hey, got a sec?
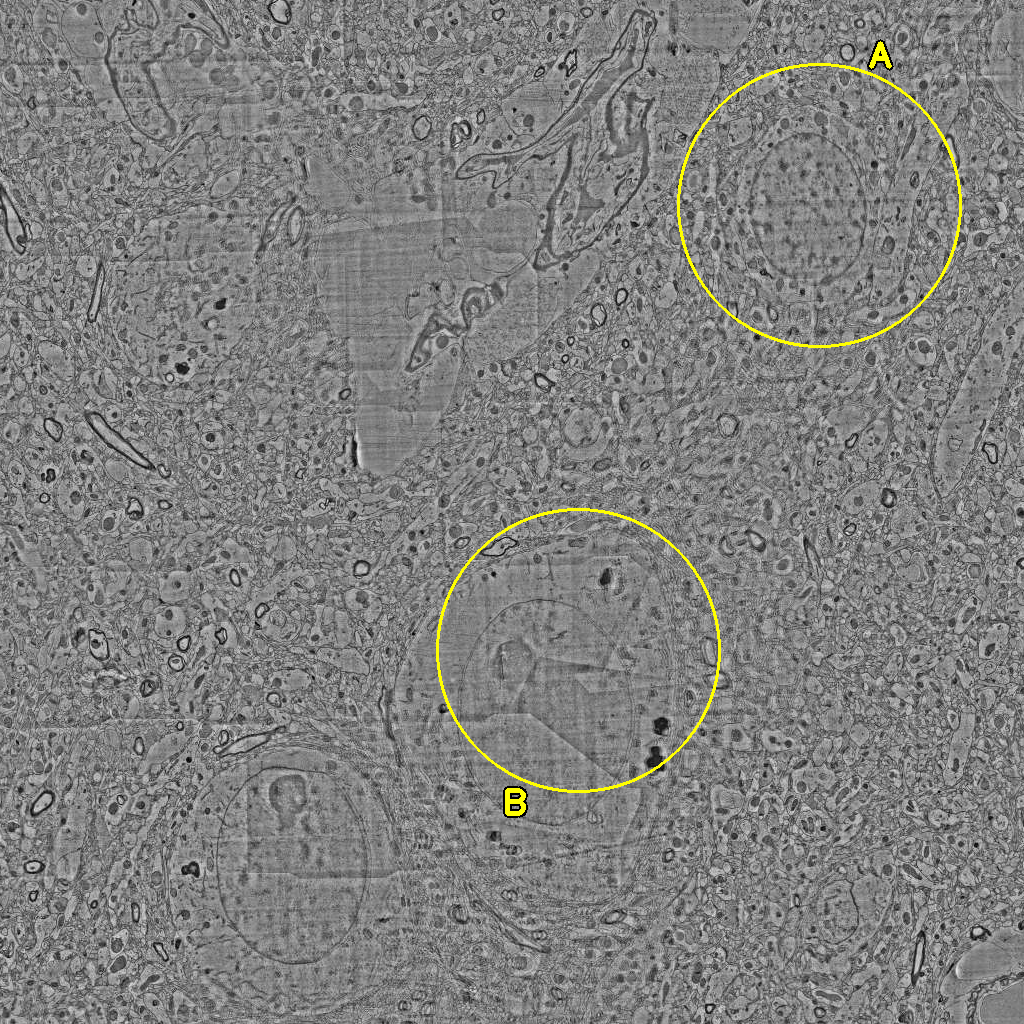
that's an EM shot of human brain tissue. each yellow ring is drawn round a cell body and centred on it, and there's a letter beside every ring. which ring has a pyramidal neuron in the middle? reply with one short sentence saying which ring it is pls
Ring B is the one centred on it.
